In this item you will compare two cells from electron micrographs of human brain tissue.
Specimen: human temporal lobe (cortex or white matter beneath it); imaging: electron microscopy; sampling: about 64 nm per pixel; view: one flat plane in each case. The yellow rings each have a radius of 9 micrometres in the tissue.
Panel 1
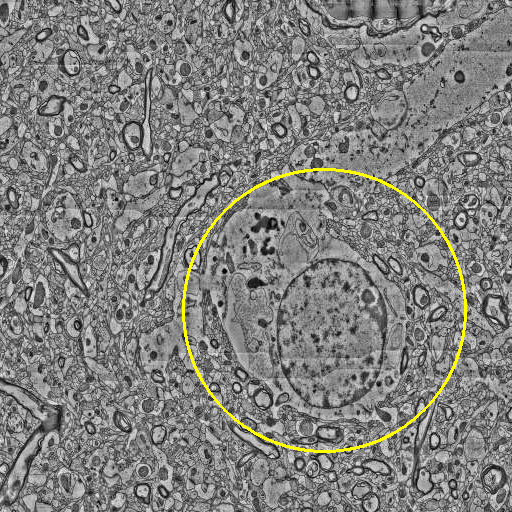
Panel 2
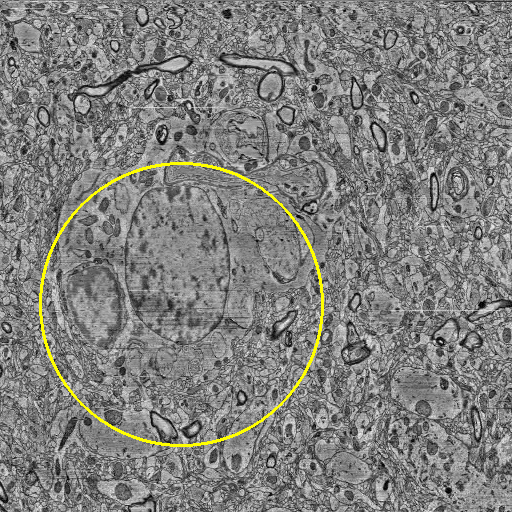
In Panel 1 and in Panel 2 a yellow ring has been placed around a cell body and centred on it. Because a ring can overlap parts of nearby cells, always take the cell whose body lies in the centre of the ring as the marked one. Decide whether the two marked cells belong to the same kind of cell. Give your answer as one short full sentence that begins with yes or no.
Yes, the two marked cells belong to the same kind of cell.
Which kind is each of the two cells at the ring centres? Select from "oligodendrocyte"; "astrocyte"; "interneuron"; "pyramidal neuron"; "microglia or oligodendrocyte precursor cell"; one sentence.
Each of the two cells is an astrocyte.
